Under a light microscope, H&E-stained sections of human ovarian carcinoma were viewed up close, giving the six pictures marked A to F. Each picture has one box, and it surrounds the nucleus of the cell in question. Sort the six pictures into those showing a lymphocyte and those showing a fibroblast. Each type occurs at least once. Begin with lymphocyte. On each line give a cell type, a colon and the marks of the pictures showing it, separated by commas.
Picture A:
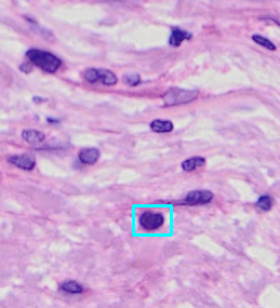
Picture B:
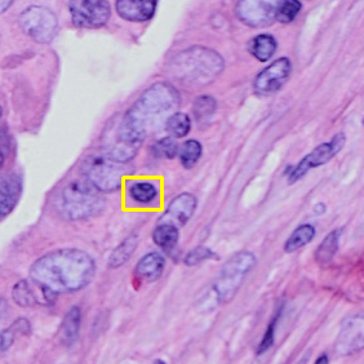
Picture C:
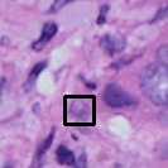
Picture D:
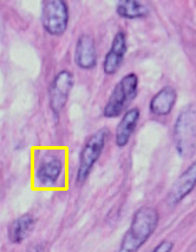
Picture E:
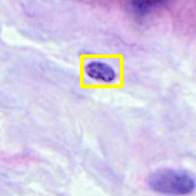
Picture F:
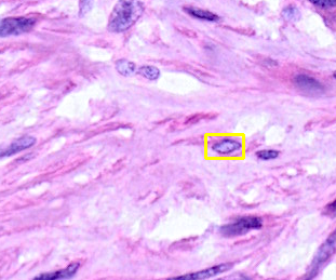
lymphocyte: A, B, E
fibroblast: C, D, F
